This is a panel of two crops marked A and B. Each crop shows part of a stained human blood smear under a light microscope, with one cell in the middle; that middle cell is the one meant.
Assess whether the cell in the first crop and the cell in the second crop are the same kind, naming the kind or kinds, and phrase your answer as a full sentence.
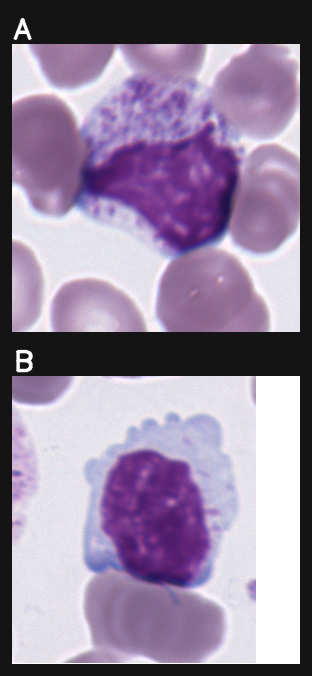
No, crop A offers a myelocyte, while crop B offers a large granular lymphocyte.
